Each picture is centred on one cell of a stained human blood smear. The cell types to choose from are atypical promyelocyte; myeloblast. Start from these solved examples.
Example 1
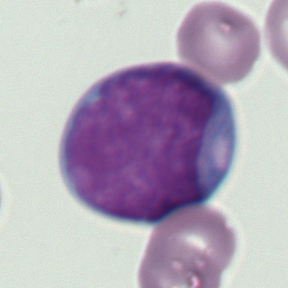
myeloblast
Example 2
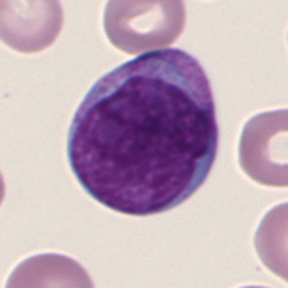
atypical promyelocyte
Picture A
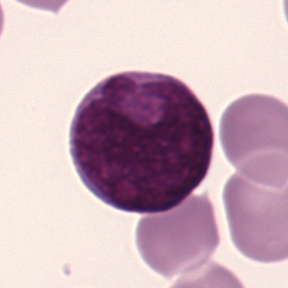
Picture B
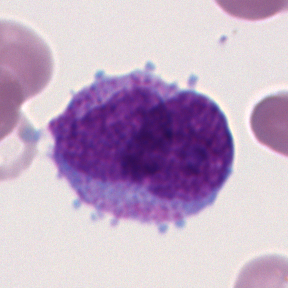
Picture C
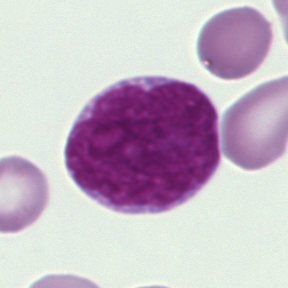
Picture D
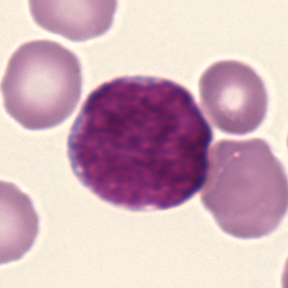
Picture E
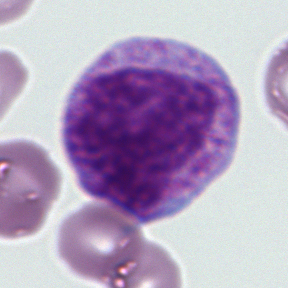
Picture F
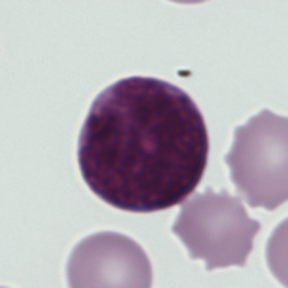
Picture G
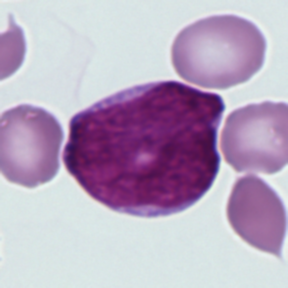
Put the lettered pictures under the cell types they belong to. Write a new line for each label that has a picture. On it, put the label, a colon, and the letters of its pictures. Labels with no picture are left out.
atypical promyelocyte: B, E
myeloblast: A, C, D, F, G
